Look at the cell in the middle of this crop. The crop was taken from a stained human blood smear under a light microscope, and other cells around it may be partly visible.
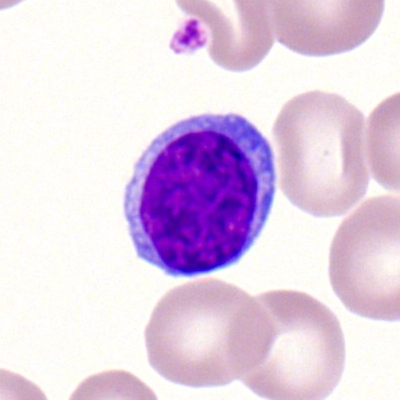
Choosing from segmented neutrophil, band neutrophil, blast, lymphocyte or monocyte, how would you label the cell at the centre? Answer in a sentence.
This crop is built around a lymphocyte at its centre.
